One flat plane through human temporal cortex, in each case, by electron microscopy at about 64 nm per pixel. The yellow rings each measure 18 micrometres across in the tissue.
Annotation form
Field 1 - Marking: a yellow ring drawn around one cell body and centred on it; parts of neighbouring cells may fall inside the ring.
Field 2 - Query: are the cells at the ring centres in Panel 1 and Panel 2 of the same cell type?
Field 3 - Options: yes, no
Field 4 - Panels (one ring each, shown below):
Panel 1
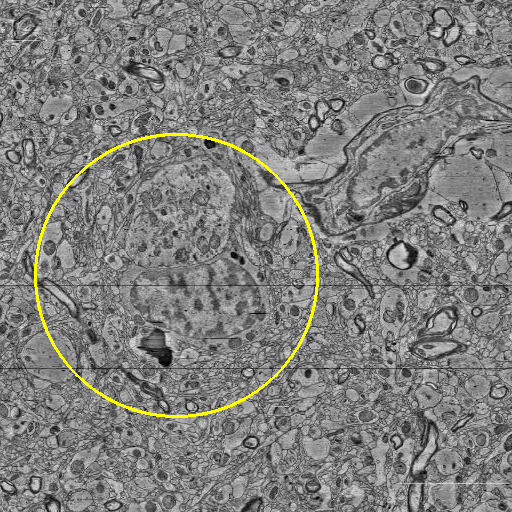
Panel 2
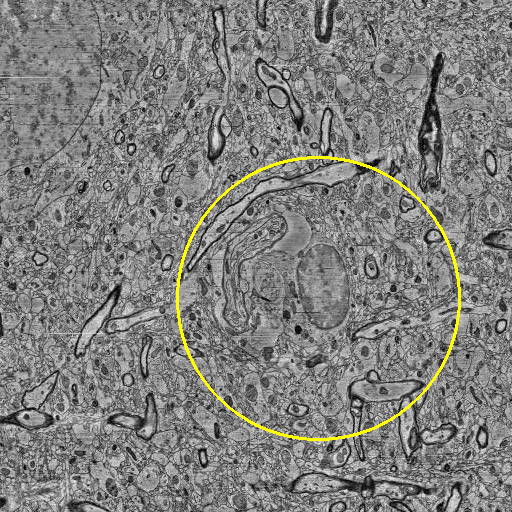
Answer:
yes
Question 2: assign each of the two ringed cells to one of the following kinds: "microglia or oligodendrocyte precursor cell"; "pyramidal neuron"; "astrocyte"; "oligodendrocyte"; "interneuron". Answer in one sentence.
Both pictures show an oligodendrocyte at the centre of the ring.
